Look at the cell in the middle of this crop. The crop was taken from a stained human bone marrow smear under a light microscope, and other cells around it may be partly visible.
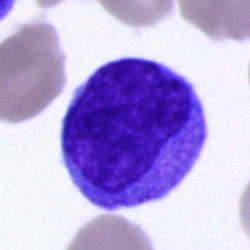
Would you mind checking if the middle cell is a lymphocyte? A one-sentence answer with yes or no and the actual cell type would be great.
No, the cell at the centre is a blast, which rules out a lymphocyte.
